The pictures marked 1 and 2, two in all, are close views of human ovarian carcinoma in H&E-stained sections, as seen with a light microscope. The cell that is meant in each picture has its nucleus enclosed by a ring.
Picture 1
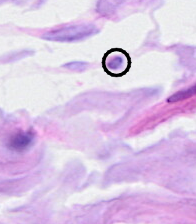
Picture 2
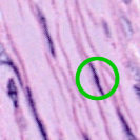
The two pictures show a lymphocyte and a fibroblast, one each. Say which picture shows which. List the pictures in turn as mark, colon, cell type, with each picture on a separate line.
1: lymphocyte
2: fibroblast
